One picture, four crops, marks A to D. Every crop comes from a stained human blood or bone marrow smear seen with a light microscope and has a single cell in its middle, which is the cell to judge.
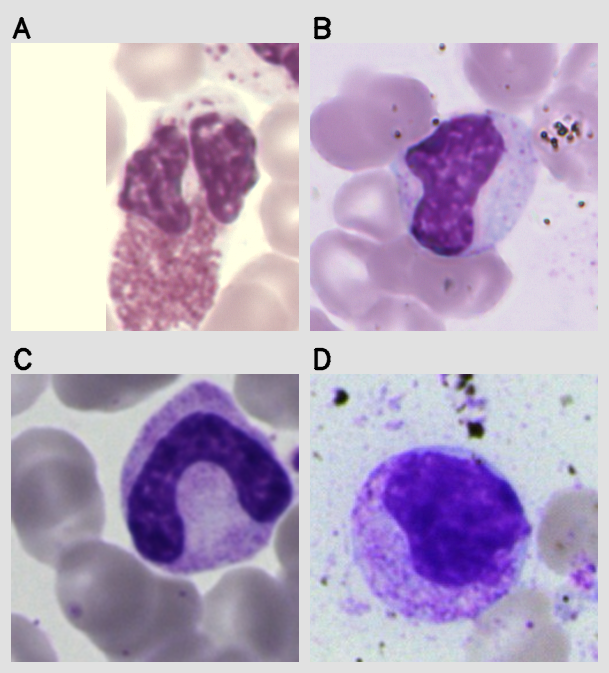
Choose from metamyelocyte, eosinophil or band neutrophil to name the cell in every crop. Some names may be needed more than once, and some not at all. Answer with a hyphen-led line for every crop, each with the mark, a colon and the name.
- A: eosinophil
- B: metamyelocyte
- C: band neutrophil
- D: metamyelocyte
